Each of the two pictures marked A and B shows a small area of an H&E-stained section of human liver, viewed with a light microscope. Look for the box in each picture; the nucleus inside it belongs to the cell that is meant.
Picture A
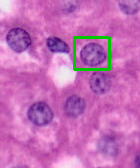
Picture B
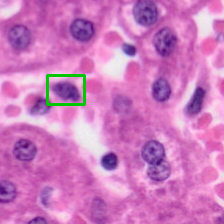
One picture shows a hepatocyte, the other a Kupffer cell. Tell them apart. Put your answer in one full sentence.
Picture A is of a hepatocyte, and picture B is of a Kupffer cell.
